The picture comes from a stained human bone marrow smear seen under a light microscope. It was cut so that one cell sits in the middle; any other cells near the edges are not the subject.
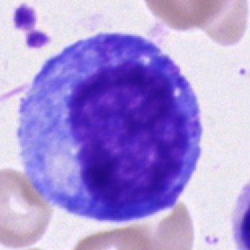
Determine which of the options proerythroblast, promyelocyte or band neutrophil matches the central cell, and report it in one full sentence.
In the center of this field lies a promyelocyte.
